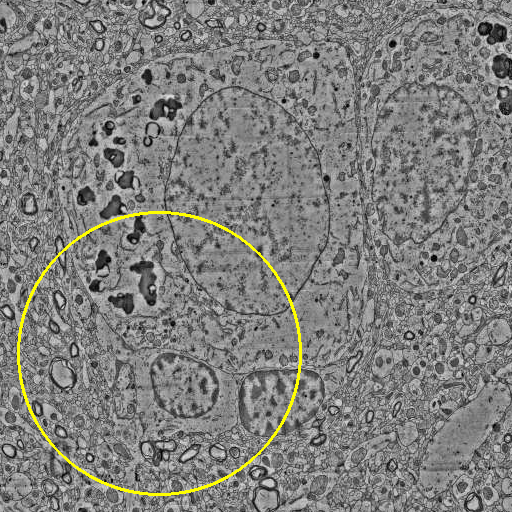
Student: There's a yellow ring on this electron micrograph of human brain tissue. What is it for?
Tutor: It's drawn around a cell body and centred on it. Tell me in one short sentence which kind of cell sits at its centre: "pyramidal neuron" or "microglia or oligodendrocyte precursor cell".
The cell at the centre of the ring is a microglial cell or oligodendrocyte precursor cell.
